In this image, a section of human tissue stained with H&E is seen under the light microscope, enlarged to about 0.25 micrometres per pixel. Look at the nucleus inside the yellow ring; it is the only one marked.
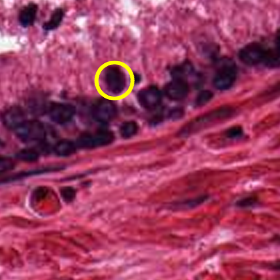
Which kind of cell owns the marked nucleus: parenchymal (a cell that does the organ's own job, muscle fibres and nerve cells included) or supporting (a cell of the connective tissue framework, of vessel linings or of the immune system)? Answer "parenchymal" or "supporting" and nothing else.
parenchymal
